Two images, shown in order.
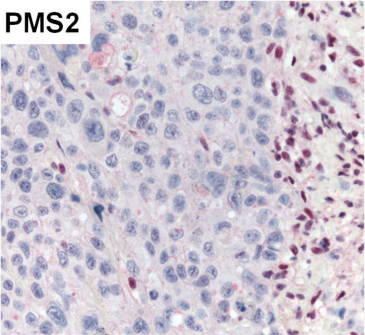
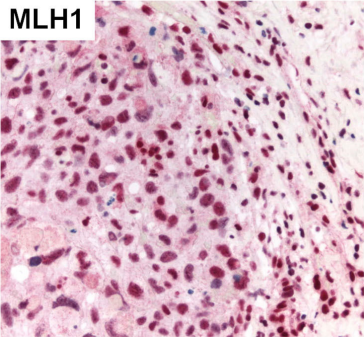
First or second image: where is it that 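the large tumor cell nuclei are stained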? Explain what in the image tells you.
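The second image. Second image: most nuclei, including the large pleomorphic ones, are stained dark purple-red.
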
